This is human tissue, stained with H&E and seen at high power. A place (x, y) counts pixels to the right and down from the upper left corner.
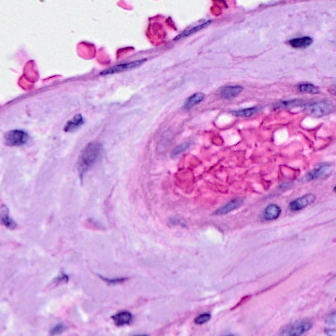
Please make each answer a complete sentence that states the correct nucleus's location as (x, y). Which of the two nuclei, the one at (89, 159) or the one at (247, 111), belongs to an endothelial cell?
Belonging to an endothelial cell is the nucleus at (247, 111).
